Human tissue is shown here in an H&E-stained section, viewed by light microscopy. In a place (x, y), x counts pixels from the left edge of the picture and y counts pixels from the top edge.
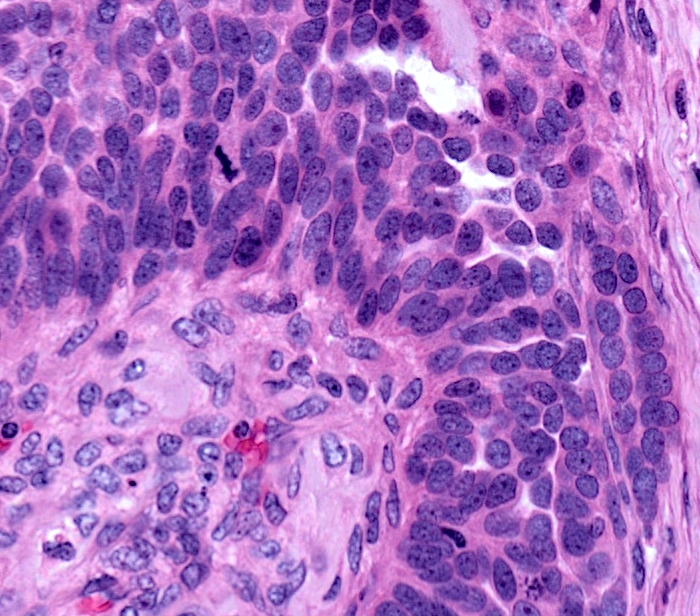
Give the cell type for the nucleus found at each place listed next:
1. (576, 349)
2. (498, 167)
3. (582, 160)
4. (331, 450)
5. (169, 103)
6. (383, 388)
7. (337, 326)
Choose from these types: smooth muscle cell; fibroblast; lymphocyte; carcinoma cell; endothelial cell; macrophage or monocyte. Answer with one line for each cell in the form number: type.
1: carcinoma cell
2: carcinoma cell
3: carcinoma cell
4: fibroblast
5: carcinoma cell
6: fibroblast
7: fibroblast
